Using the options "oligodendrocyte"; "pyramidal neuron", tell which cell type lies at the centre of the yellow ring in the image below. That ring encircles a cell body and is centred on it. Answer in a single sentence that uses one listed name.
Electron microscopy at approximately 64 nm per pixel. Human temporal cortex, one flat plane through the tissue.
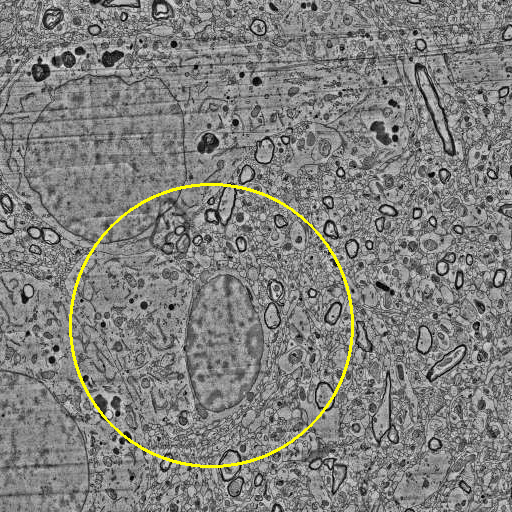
At the centre of the yellow ring lies the body of an oligodendrocyte.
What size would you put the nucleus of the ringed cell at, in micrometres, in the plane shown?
The ringed cell's nucleus is roughly 9 by 5 micrometres and clearly longer than it is wide in this plane.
